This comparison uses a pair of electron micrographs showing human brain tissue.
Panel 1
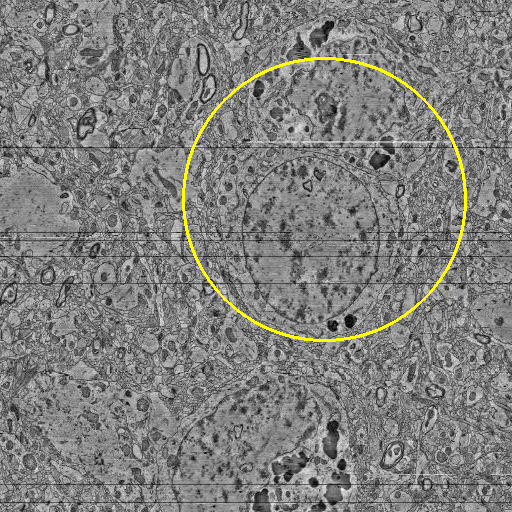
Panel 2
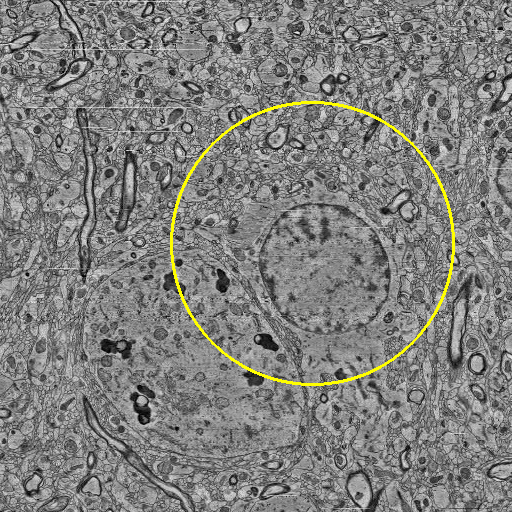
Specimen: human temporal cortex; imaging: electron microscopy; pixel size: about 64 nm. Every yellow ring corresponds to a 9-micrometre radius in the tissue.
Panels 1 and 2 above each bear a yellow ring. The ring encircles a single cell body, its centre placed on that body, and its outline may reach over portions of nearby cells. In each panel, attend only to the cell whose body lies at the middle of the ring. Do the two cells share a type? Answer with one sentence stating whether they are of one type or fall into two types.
In Panel 1 and Panel 2, the cells at the centres of the rings fall into two types.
